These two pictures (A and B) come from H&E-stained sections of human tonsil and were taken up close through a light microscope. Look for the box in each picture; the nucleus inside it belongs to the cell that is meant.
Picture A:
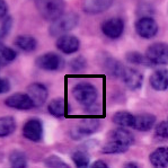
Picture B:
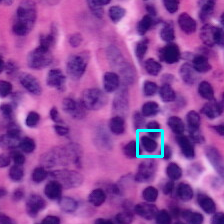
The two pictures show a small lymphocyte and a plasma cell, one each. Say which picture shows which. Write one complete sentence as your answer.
Picture B shows a small lymphocyte, while picture A shows a plasma cell.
